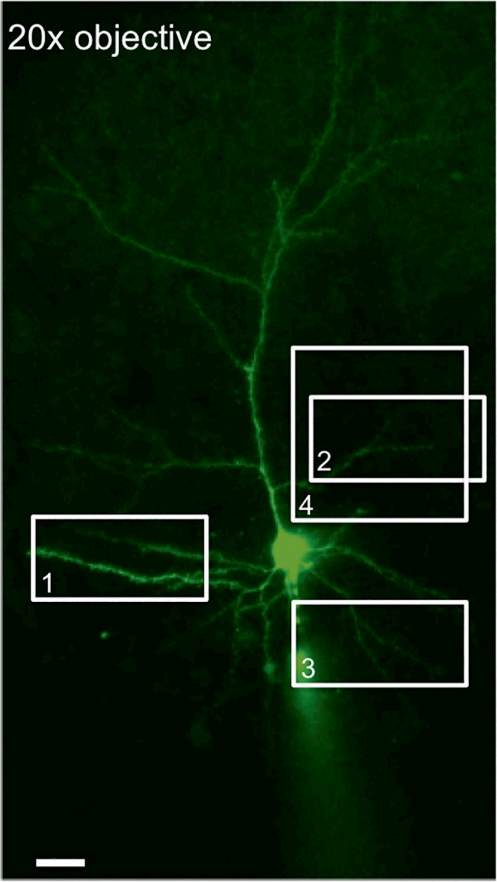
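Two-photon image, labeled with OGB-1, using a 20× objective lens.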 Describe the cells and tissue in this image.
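The cell body is a bright, roughly triangular shape in the lower middle of the image. A thick apical dendrite rises from the top of the cell body and branches into thinner dendrites further up. Several basal dendrites radiate from the base and sides of the cell body, running toward the left, right and below. A diffuse bright haze extends downward from below the cell body.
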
